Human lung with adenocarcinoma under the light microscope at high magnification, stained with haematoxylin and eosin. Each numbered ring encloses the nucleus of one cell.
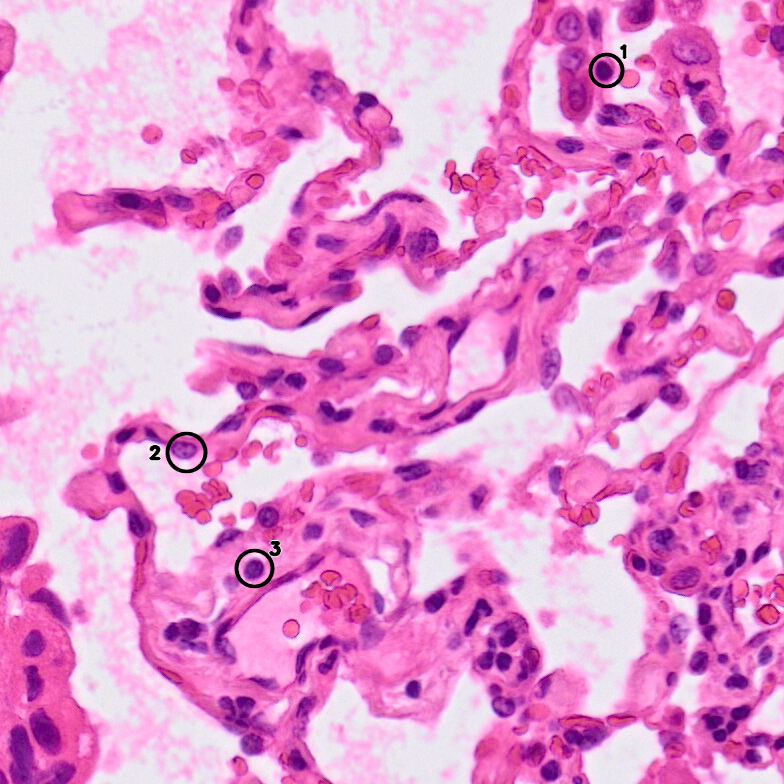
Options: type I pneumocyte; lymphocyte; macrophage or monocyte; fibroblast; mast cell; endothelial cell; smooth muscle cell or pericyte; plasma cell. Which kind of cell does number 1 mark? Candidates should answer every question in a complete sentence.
The correct answer for cell 1 is a lymphocyte.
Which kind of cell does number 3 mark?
The cell identified by the number 3 is a lymphocyte.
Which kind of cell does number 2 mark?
Regarding cell 2, this one is a type I pneumocyte.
